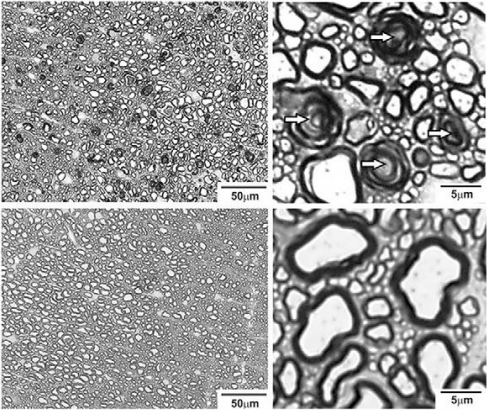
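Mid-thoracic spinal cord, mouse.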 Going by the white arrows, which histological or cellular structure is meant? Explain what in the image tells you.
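The arrowed fibres in the upper high-power image have dark, concentric, layered rings. The arrowed profiles are denser and darker than the neighbouring ring-shaped fibres. No such dark layered profiles appear in the lower high-power image.
Hence: myelin whorls.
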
